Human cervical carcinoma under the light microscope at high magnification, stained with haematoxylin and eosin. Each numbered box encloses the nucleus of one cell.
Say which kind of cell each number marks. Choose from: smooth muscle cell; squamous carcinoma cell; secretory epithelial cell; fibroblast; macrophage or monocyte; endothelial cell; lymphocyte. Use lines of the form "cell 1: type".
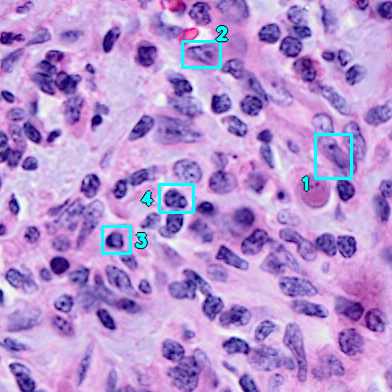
cell 1: endothelial cell
cell 2: endothelial cell
cell 3: lymphocyte
cell 4: lymphocyte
